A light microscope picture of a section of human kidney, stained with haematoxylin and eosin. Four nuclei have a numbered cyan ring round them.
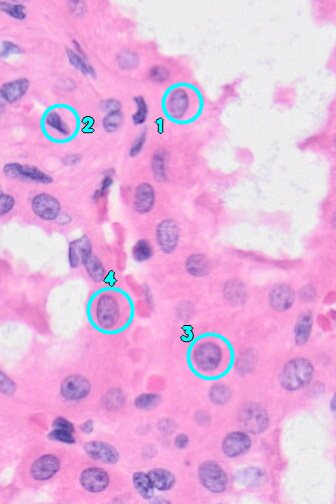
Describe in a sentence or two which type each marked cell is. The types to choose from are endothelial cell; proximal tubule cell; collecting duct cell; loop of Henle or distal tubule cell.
Cell 1 is a proximal tubule cell, cell 2 is an endothelial cell, cell 3 is a proximal tubule cell and cell 4 is a proximal tubule cell.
